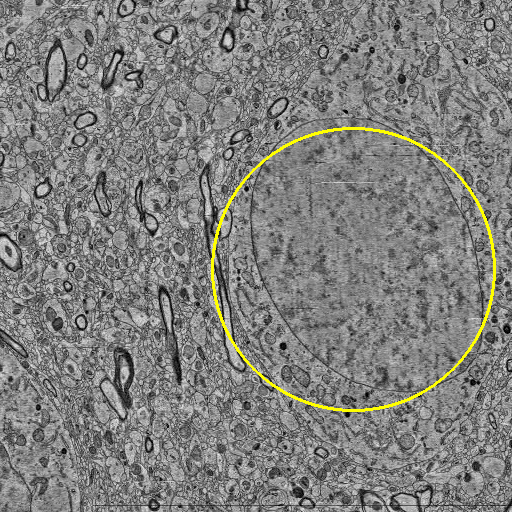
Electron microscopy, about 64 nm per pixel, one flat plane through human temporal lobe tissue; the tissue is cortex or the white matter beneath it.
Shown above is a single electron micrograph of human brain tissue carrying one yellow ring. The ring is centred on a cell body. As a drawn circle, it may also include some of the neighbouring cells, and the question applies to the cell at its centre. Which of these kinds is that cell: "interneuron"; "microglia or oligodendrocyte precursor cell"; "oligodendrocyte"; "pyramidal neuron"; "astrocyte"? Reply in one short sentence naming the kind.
The cell marked by the ring is a pyramidal neuron.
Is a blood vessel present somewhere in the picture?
No, no blood vessel shows in the picture.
